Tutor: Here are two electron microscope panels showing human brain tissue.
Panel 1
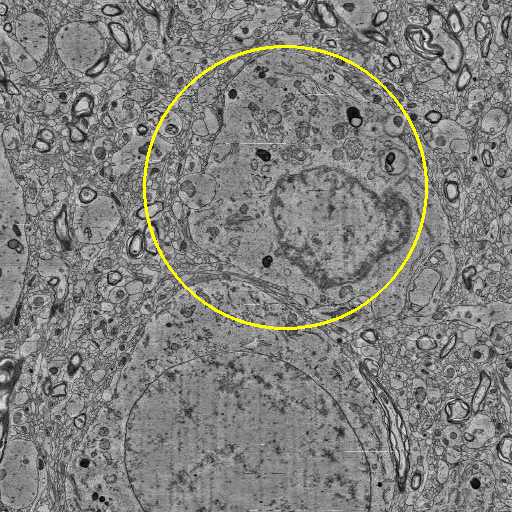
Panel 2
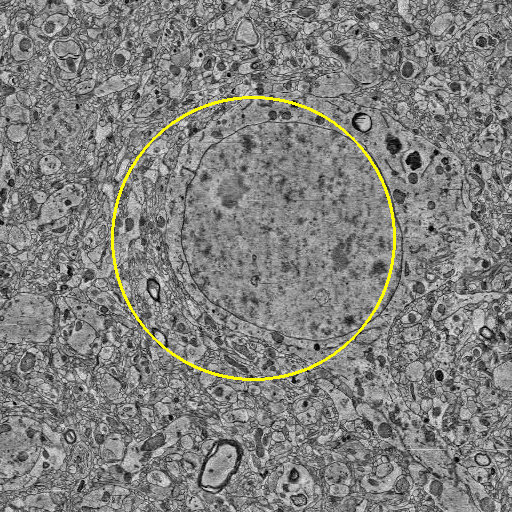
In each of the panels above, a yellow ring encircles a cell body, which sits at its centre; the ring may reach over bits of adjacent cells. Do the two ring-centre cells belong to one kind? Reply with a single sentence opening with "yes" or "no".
No, the two cells sitting at the ring centres in the panels belong to two kinds.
